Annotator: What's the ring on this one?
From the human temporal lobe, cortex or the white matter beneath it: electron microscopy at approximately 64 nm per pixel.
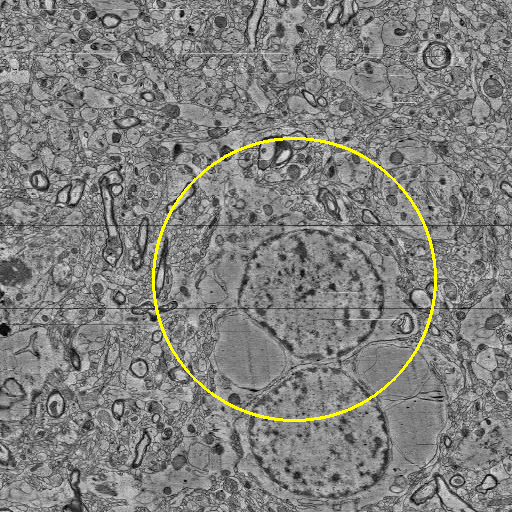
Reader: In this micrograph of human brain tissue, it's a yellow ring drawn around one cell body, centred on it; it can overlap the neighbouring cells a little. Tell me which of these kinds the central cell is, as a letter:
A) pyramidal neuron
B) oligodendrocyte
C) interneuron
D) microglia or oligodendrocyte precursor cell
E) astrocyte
E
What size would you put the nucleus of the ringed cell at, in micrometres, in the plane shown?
In this plane, roughly 9 micrometres across.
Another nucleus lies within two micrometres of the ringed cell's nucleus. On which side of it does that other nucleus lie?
The other one lies below it.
